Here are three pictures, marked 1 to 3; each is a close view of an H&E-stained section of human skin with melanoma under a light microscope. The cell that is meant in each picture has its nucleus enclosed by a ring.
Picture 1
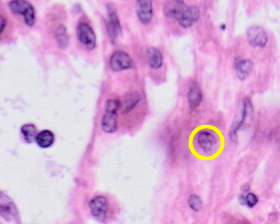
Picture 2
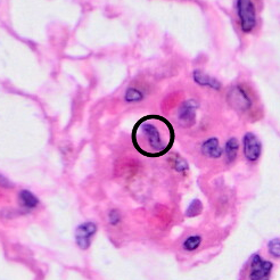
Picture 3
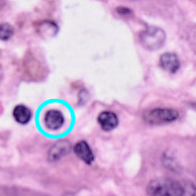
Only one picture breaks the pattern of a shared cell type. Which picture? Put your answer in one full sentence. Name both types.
Unlike the rest, which show “macrophages or monocytes”, picture 3 shows a lymphocyte.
